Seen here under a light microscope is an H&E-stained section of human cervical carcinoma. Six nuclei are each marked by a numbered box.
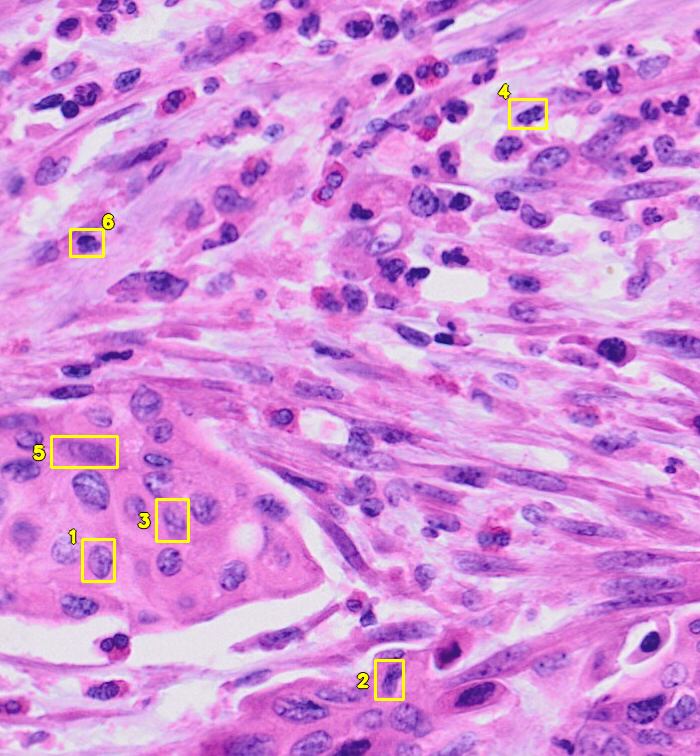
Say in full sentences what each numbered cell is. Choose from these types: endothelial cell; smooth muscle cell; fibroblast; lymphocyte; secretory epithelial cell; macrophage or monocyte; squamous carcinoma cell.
Cell 1 is a squamous carcinoma cell, cell 2 is a squamous carcinoma cell, cell 3 is a squamous carcinoma cell, cell 4 is a lymphocyte, cell 5 is a squamous carcinoma cell and cell 6 is a lymphocyte.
